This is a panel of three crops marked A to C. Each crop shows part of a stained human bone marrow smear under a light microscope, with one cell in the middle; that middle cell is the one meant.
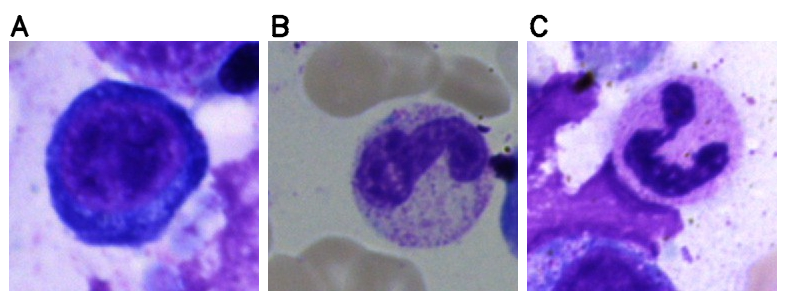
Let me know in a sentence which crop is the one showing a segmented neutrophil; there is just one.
Of the labeled crops, the one with a segmented neutrophil is crop C.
